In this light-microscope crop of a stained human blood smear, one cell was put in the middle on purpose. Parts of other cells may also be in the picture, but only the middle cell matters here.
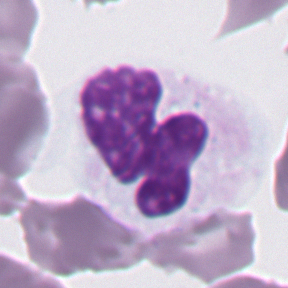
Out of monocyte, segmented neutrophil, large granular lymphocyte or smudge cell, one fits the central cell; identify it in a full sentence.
Occupying the centre of the crop is a segmented neutrophil.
